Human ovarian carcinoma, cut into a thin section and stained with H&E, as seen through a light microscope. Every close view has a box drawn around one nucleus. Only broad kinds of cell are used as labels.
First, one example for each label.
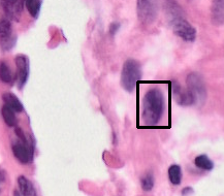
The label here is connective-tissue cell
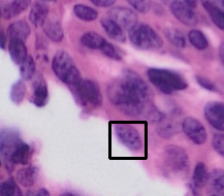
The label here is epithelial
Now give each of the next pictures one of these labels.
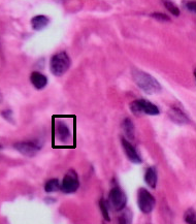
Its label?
connective-tissue cell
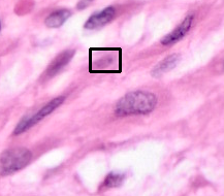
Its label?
connective-tissue cell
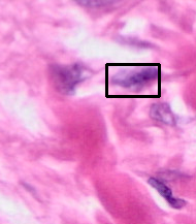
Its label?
connective-tissue cell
